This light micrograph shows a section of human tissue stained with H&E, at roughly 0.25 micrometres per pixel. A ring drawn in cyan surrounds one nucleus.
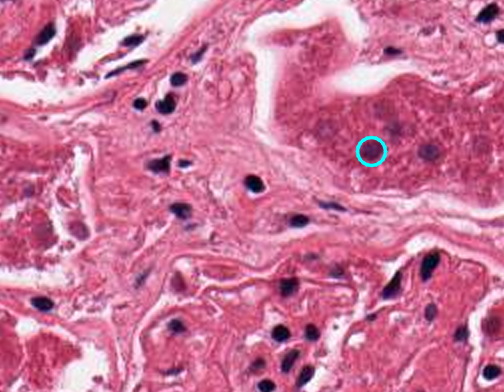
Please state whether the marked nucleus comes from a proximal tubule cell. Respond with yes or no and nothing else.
yes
